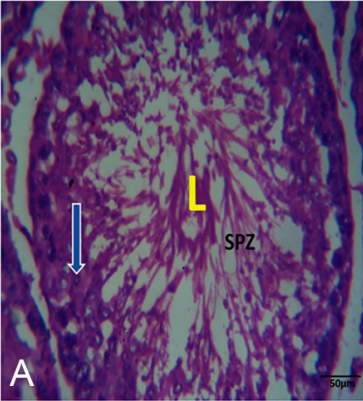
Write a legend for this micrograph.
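A cross-section of a testicular tubule in which spermatogenic cells form several layers from the outer wall toward the centre. Near the wall the cells lie closely packed, with round, dark purple nuclei; further in they become looser, separated by pale clear spaces. Pink, thread-like tails of spermatozoa stream radially inward and converge on a narrow central lumen. The tubule is bounded by a thin rim, and a little interstitial tissue with scattered dark nuclei shows outside it at the left edge.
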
